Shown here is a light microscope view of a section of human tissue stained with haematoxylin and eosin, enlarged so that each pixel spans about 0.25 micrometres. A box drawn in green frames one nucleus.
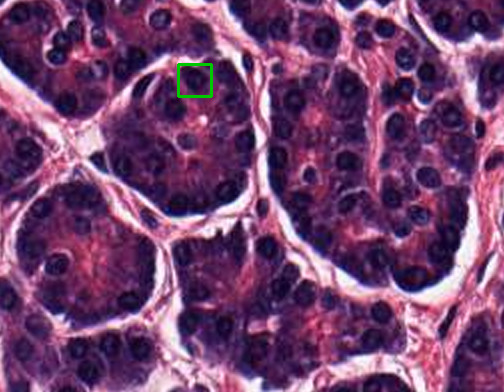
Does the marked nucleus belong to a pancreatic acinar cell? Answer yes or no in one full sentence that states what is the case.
Yes, the nucleus indicated by the marking belongs to a pancreatic acinar cell.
